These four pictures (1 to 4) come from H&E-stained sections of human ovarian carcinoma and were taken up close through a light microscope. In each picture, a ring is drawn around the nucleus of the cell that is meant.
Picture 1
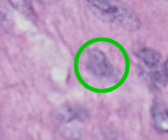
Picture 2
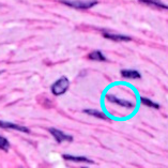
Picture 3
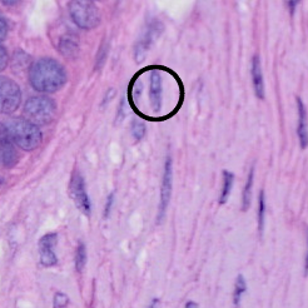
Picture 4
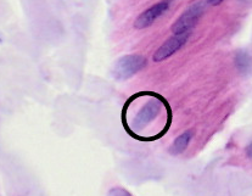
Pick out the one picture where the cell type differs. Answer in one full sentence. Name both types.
Picture 4 is the odd one out: it shows a smooth muscle cell, while the others show fibroblasts.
